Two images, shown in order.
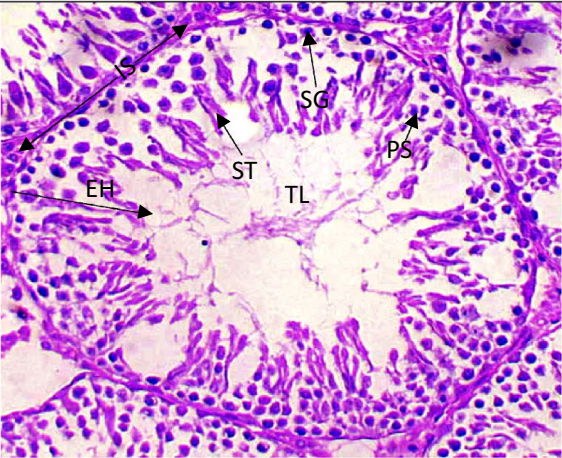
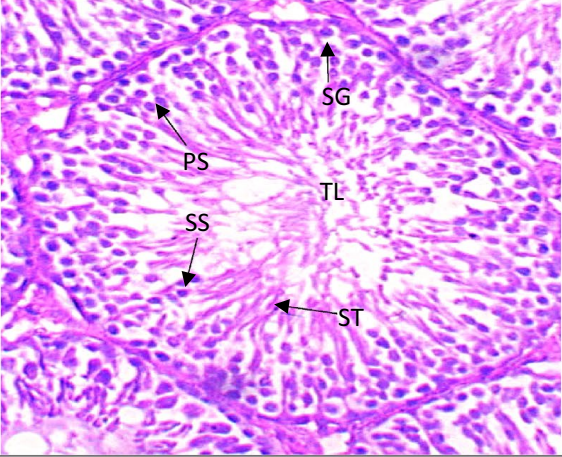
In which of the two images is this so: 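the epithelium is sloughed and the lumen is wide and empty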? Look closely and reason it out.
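First image: thin, broken epithelium with large empty spaces and a broad empty centre. Second image: thick, densely packed epithelium with a narrow central lumen filled with sperm tails. On this evidence: the first image.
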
